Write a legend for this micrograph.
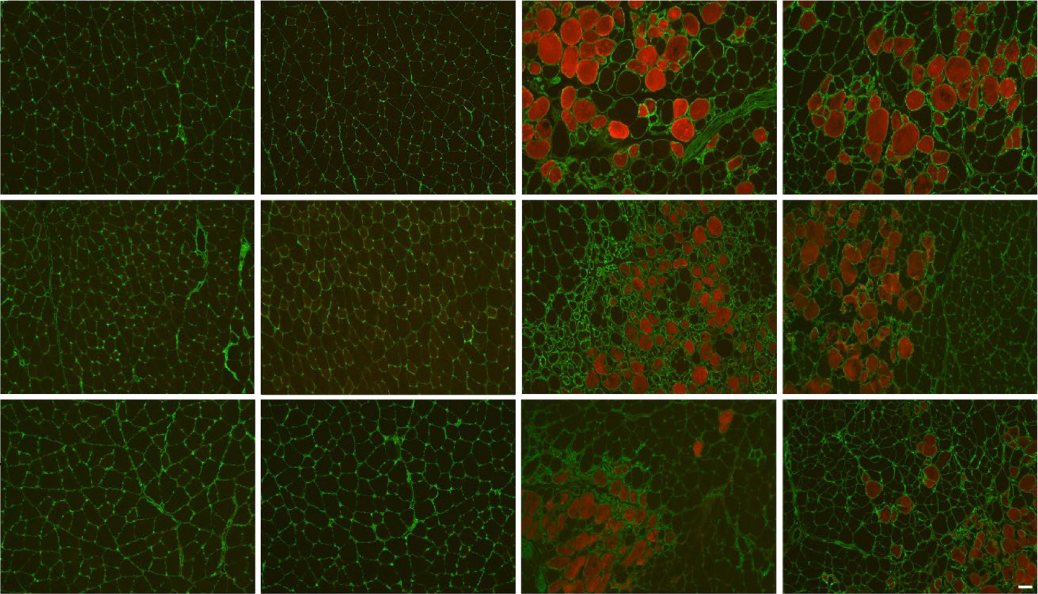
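These are cross sections of muscle, where each polygonal profile is a single myofiber cut across and outlined by a thin green rim. In the left half of the grid the fibers are uniform and unstained inside, packed in a neat honeycomb. In the right half many fibers are filled with red, and they vary much more in size, some rounded and enlarged, with more green-rimmed tissue between the fibers.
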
